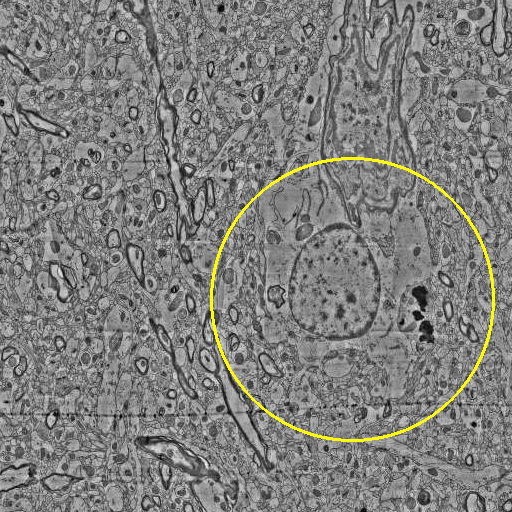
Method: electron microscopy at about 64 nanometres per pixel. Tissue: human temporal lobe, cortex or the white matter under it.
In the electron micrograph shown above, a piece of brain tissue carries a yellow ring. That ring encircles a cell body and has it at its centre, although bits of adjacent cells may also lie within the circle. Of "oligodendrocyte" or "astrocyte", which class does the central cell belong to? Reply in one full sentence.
The cell body at the centre of the yellow ring belongs to an astrocyte.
